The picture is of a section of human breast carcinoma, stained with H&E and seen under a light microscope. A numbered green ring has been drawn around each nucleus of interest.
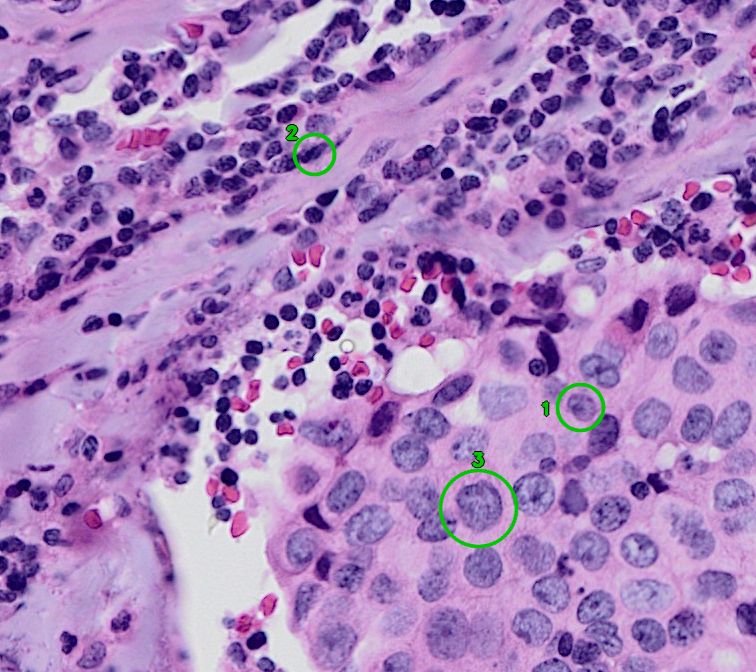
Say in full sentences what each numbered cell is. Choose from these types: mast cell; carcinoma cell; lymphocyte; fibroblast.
Cell 1 is a carcinoma cell, cell 2 is a lymphocyte and cell 3 is a carcinoma cell.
